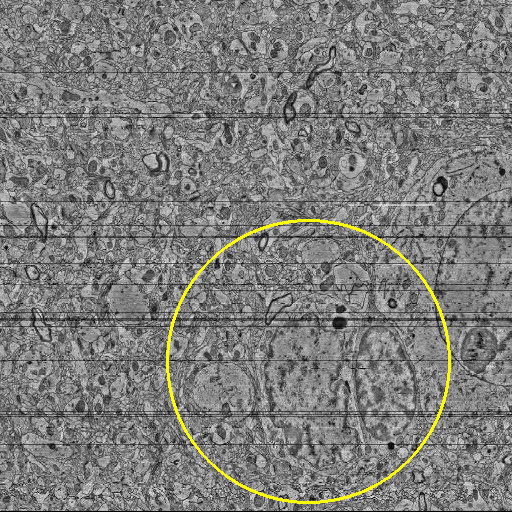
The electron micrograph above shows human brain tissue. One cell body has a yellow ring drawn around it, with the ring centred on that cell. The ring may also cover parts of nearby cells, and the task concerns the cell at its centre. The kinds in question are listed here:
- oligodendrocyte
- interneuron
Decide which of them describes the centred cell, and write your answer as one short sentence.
The centred cell is an interneuron.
